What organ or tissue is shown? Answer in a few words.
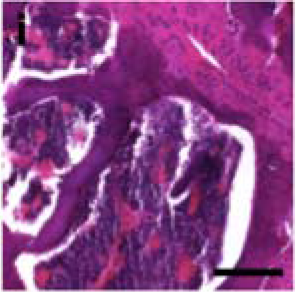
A: Bone and marrow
